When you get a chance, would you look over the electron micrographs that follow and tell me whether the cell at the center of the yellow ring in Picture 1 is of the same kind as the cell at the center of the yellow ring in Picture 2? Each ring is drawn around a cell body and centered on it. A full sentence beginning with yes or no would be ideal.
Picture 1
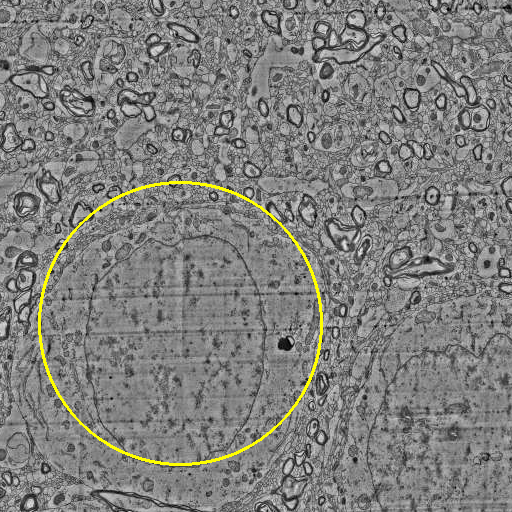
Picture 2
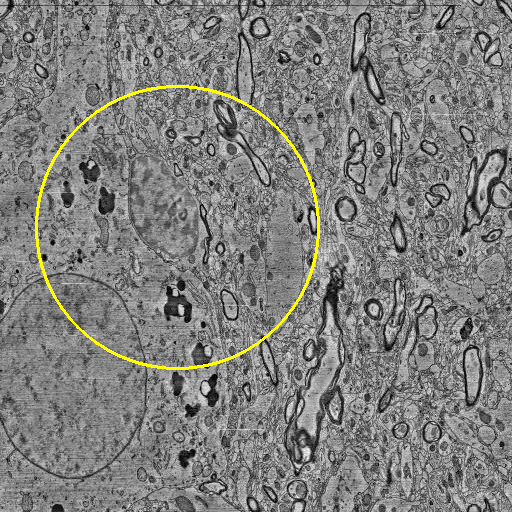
No, they are two kinds of cell.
